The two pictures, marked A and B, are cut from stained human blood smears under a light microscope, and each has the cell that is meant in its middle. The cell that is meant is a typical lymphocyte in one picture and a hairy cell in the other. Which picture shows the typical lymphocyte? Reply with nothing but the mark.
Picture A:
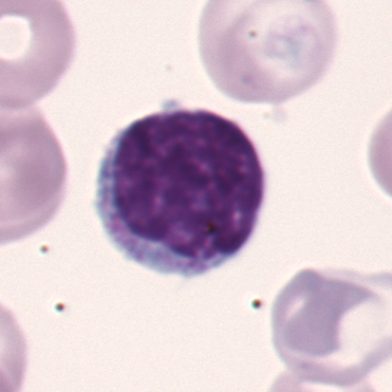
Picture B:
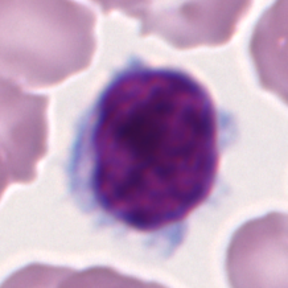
A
